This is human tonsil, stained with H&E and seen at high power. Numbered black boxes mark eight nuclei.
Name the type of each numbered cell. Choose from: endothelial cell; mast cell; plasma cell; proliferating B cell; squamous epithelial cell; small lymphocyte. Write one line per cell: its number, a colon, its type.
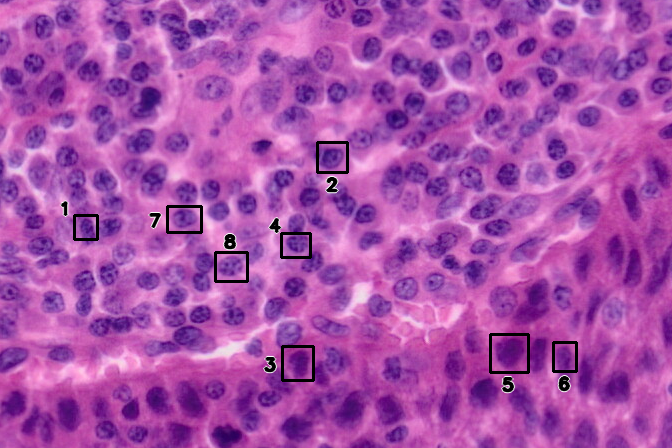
1: plasma cell
2: plasma cell
3: squamous epithelial cell
4: plasma cell
5: squamous epithelial cell
6: squamous epithelial cell
7: plasma cell
8: plasma cell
